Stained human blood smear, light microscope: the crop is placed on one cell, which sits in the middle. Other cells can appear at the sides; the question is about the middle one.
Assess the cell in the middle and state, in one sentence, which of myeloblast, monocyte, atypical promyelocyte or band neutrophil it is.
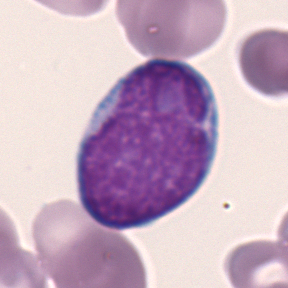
Whatever else lies nearby, the middle cell is a myeloblast.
